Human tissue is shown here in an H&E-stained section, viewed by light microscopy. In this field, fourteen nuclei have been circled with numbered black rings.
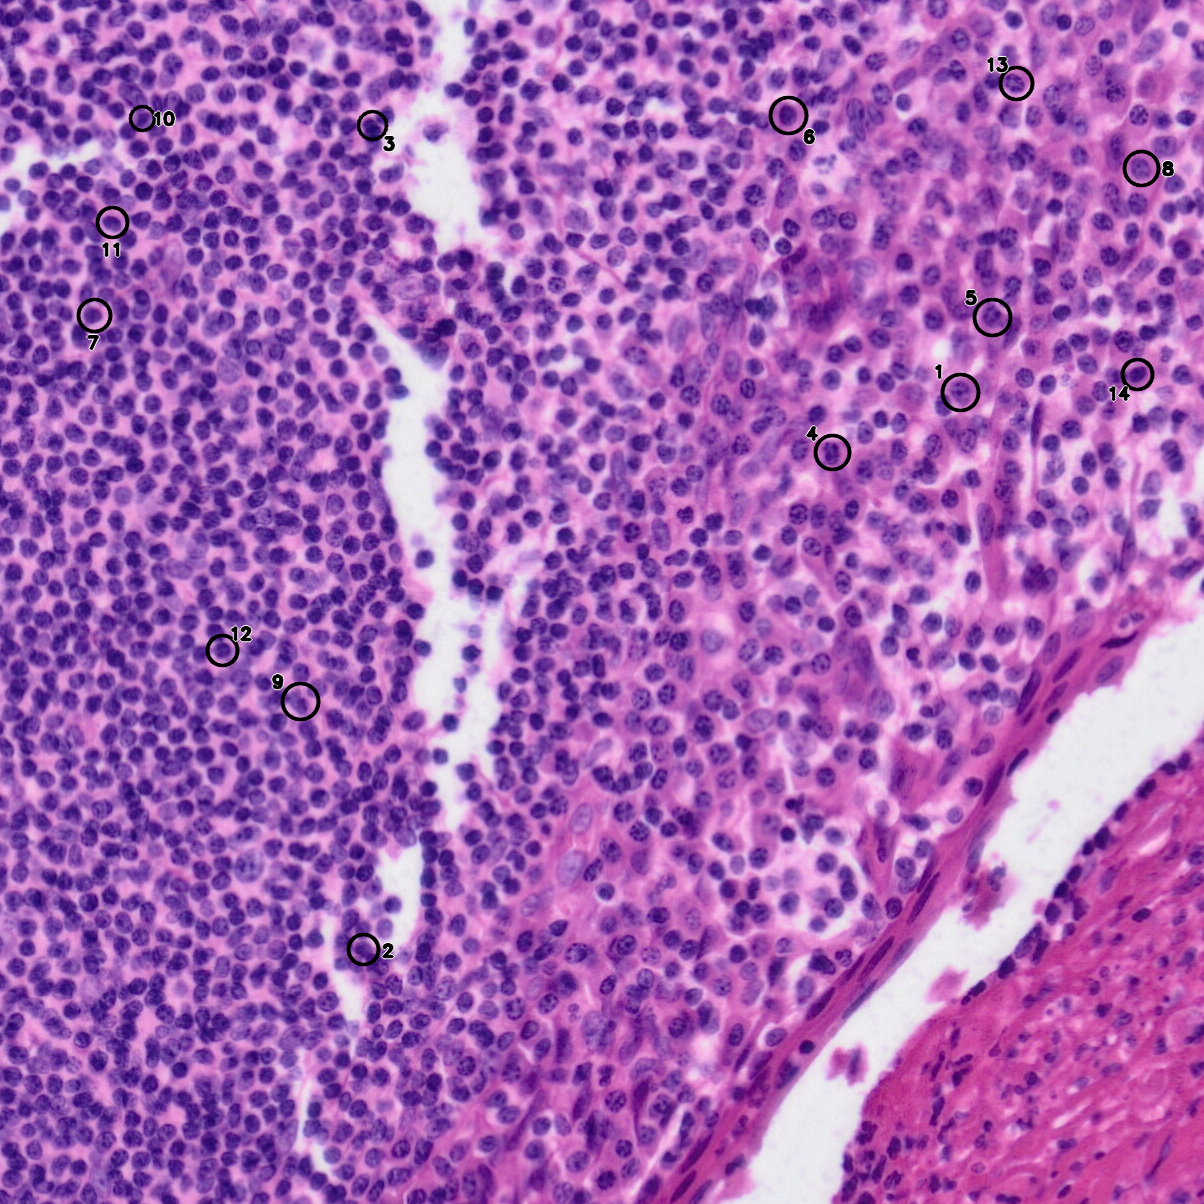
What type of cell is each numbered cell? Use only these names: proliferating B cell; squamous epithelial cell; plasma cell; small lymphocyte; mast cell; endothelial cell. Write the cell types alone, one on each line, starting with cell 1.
plasma cell
small lymphocyte
small lymphocyte
plasma cell
plasma cell
plasma cell
small lymphocyte
plasma cell
small lymphocyte
small lymphocyte
small lymphocyte
small lymphocyte
plasma cell
plasma cell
